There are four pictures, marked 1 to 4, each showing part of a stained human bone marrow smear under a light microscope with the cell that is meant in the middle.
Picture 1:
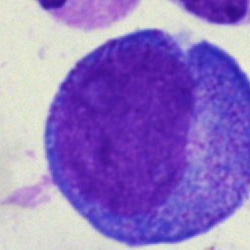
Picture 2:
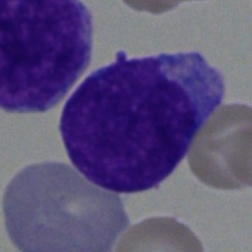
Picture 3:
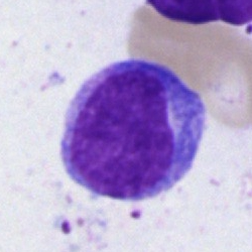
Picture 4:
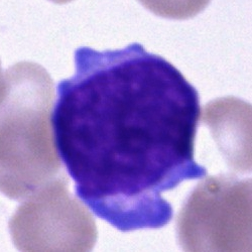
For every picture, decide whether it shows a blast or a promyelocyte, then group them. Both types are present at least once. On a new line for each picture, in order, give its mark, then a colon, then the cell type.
1: promyelocyte
2: blast
3: blast
4: blast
